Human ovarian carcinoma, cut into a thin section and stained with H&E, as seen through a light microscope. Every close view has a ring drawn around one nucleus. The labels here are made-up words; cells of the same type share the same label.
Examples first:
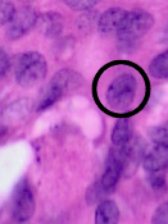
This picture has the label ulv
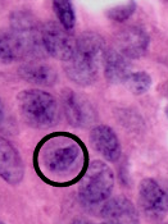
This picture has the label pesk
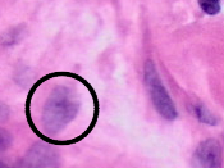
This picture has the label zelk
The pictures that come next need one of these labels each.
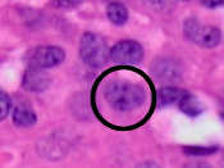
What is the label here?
ulv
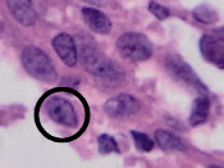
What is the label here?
pesk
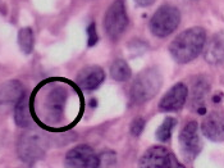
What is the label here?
ulv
